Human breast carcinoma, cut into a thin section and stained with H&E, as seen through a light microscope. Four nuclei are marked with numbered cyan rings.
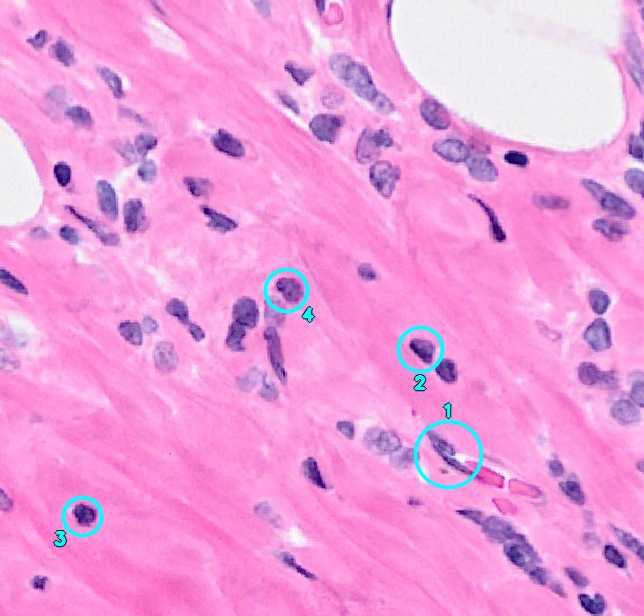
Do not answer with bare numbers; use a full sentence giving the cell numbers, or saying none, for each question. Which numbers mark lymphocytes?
The cells numbered 2, 3 and 4 are identified as lymphocytes.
